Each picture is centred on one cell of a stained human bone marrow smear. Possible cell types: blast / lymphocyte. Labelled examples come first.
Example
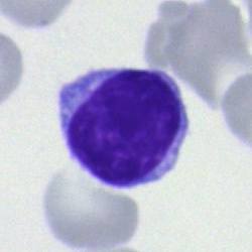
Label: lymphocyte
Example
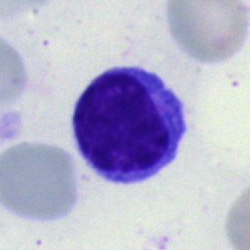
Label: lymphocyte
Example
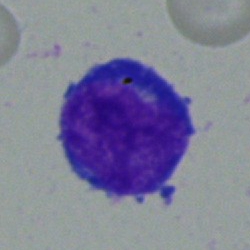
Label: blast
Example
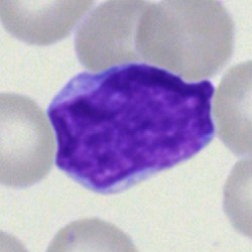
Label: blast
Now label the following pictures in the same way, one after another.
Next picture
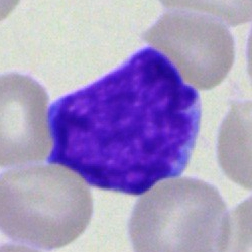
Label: blast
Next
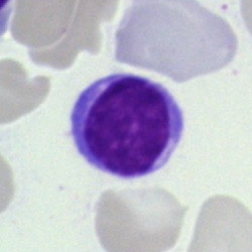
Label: lymphocyte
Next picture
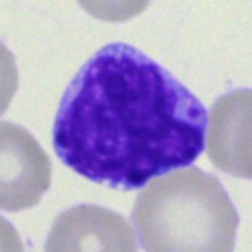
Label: blast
